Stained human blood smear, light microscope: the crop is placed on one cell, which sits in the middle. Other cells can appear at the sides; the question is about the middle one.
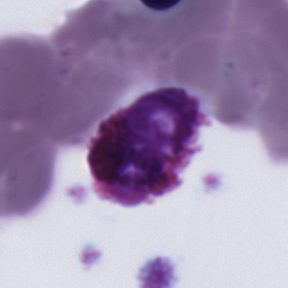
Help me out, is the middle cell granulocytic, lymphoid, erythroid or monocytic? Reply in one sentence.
Regarding its lineage, the centered cell is granulocytic.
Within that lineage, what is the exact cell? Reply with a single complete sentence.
Looking at the middle of the crop, the cell there is an eosinophil.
